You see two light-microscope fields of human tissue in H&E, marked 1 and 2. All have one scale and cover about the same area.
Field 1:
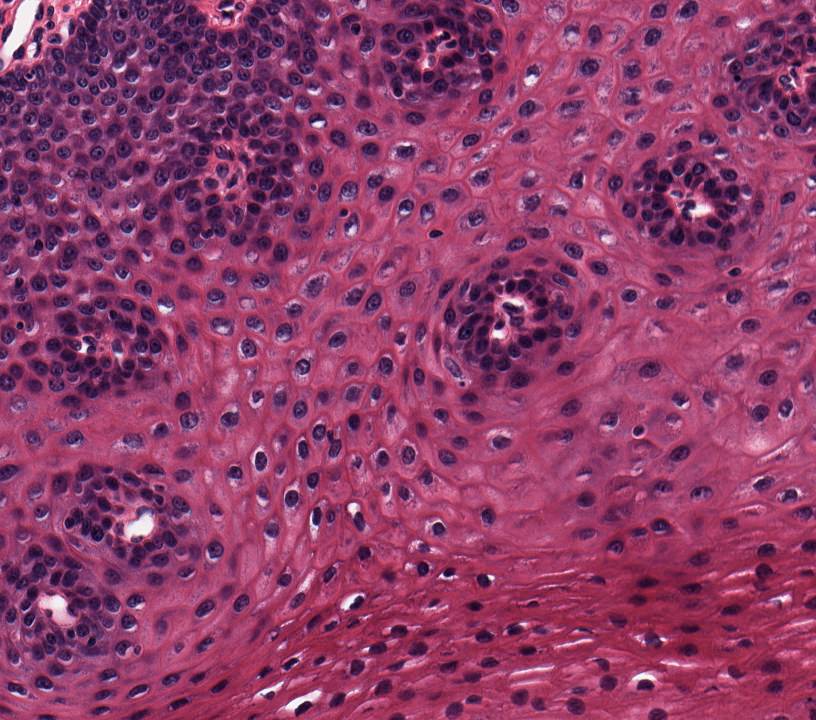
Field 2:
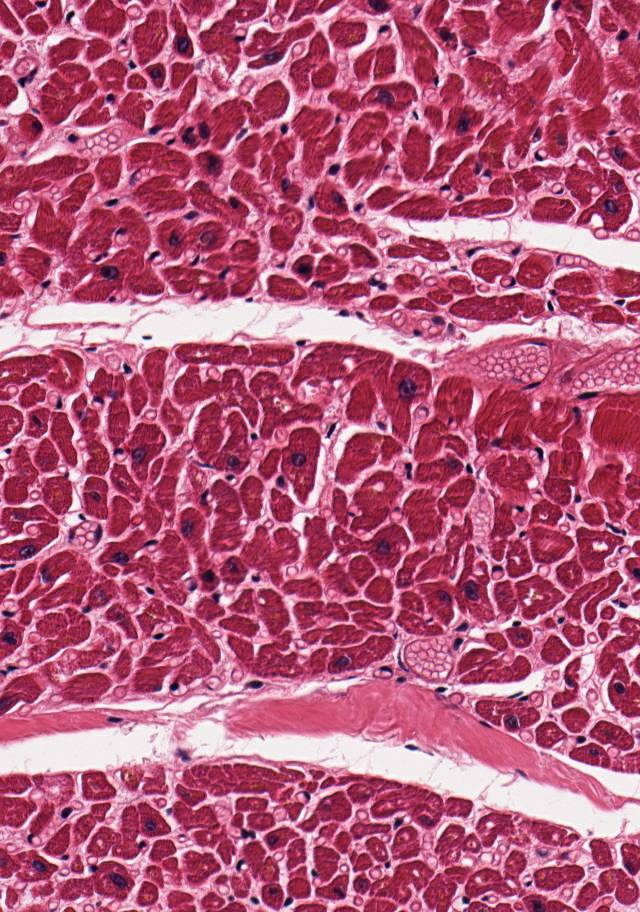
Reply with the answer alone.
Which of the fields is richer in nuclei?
1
